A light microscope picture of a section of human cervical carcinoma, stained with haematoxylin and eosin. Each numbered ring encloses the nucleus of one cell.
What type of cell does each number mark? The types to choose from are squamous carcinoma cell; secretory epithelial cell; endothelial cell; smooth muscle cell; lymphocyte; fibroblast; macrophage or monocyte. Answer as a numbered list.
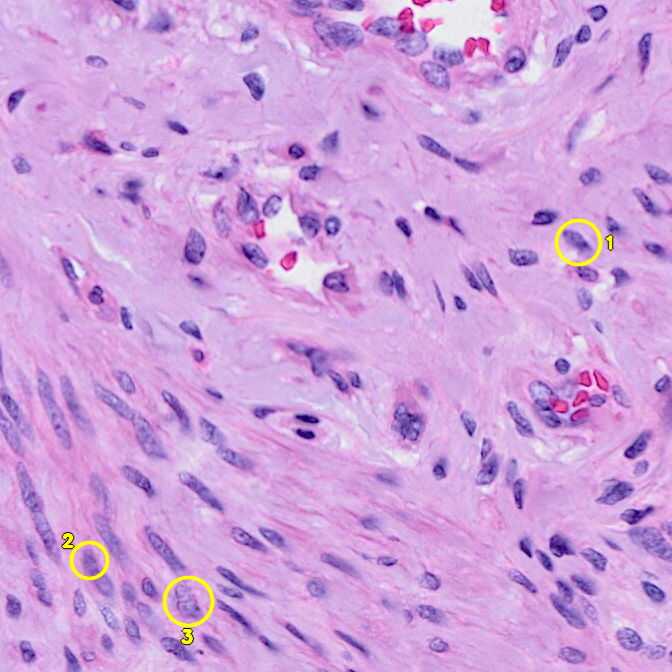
1. fibroblast
2. smooth muscle cell
3. smooth muscle cell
